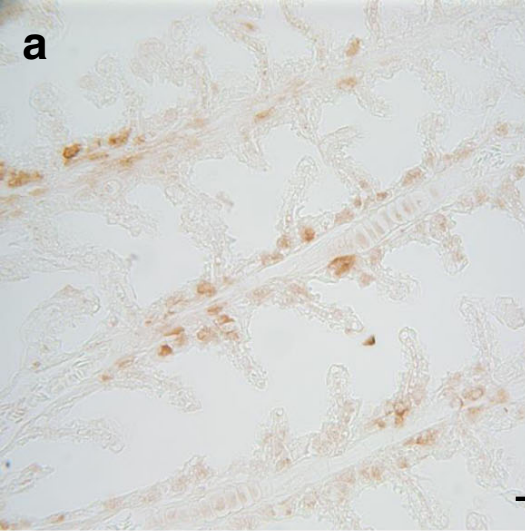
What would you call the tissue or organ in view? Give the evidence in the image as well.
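Long central filaments carry many short, regularly spaced side plates. The side plates are thin, one to two cells thick. Scattered brown-stained cells sit along the filaments. That points to this answer: Gills.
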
